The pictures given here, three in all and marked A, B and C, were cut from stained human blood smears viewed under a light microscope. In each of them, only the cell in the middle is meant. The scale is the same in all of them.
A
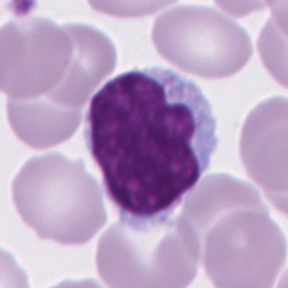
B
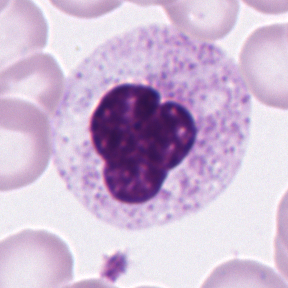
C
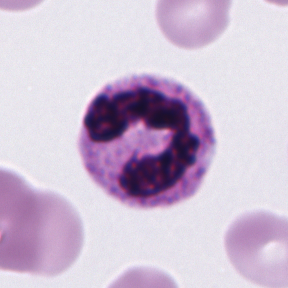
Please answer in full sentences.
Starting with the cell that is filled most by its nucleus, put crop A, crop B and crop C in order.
From the most filled to the least, the order is A, C, B.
